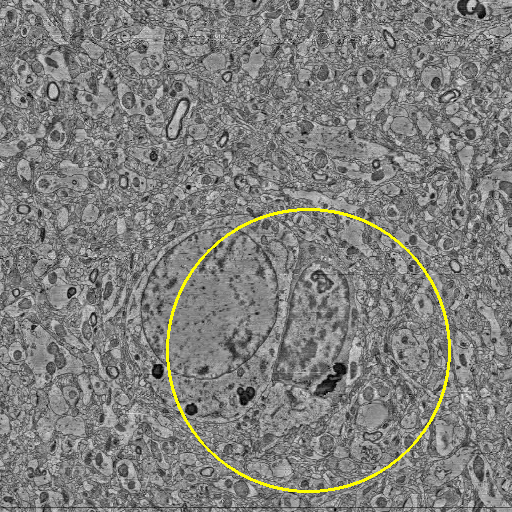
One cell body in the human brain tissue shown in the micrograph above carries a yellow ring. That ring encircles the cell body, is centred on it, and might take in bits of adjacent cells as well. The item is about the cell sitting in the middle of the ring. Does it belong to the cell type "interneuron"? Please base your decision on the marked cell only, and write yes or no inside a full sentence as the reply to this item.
No, the cell in the centre of the yellow ring belongs to a different kind.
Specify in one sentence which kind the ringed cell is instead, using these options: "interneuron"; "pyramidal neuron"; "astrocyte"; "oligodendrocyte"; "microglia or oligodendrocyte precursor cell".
The cell that the ring is centred on is an oligodendrocyte.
